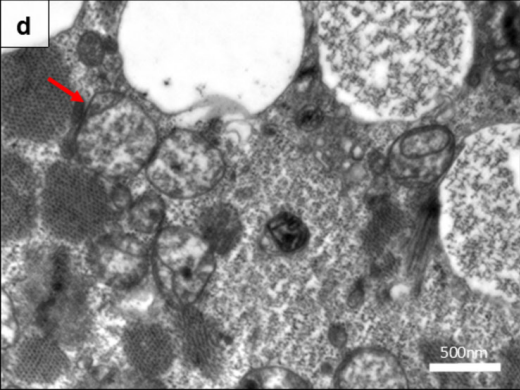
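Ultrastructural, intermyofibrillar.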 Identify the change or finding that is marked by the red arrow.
Circular mitochondrial membranes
